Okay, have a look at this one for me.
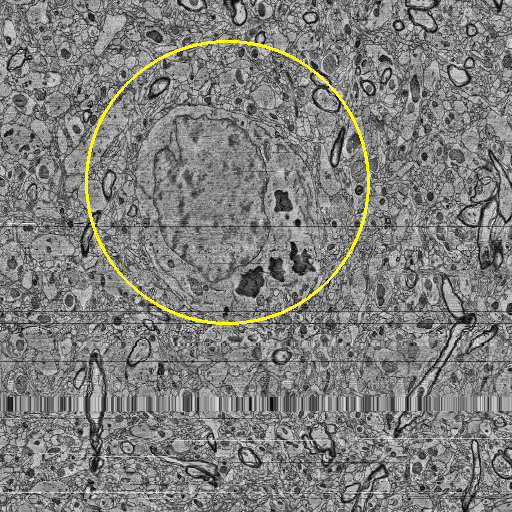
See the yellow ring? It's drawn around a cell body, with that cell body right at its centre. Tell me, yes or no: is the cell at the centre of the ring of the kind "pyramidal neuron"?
No, it belongs to another kind.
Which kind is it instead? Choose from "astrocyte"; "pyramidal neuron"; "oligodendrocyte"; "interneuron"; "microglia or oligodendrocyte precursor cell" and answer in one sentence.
The cell ringed in the picture is an interneuron.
